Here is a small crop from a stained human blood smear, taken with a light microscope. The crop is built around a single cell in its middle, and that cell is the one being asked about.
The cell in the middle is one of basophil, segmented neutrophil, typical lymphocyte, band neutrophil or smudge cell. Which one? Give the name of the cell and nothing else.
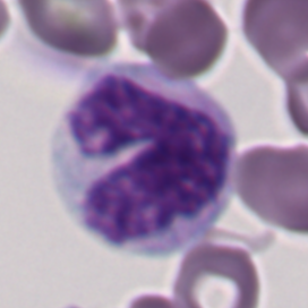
band neutrophil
